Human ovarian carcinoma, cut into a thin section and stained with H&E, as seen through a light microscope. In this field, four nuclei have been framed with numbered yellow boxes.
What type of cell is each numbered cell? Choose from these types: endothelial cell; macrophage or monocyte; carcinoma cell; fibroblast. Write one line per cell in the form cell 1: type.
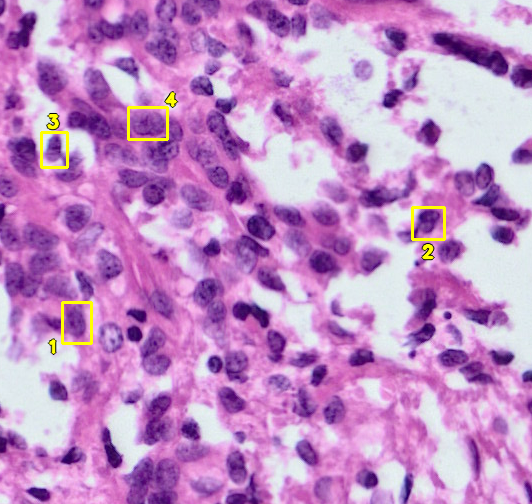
cell 1: carcinoma cell
cell 2: macrophage or monocyte
cell 3: carcinoma cell
cell 4: carcinoma cell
